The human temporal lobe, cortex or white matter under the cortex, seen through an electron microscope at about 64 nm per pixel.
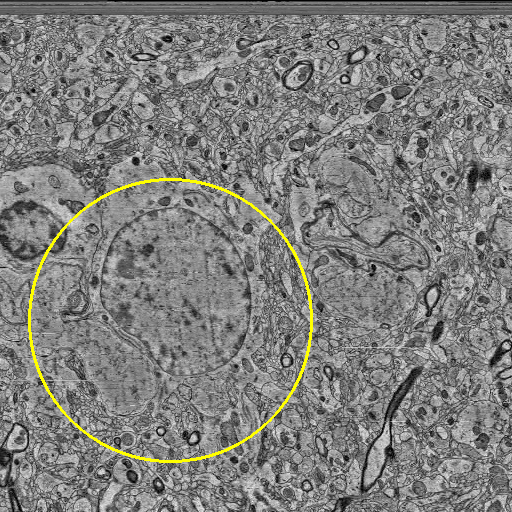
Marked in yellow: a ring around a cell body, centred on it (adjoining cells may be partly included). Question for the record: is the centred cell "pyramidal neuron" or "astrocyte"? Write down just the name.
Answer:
astrocyte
